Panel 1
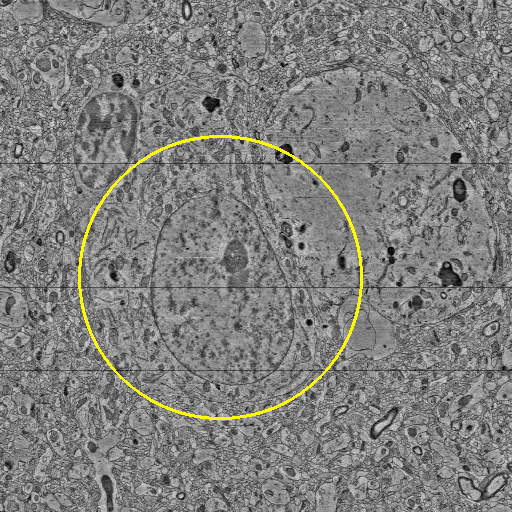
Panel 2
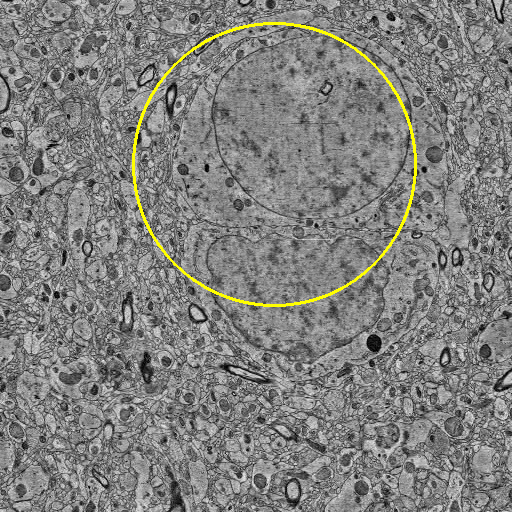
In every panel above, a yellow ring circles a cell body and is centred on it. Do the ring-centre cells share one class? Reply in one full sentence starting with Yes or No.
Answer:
No, the two cells at the ring centres in the panels belong to two classes.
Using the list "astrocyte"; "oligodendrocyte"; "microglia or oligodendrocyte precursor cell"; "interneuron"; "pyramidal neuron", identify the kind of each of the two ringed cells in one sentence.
The first is an interneuron and the second is a pyramidal neuron.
